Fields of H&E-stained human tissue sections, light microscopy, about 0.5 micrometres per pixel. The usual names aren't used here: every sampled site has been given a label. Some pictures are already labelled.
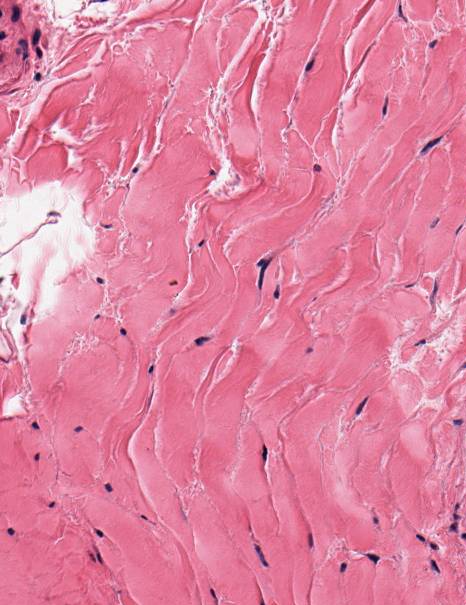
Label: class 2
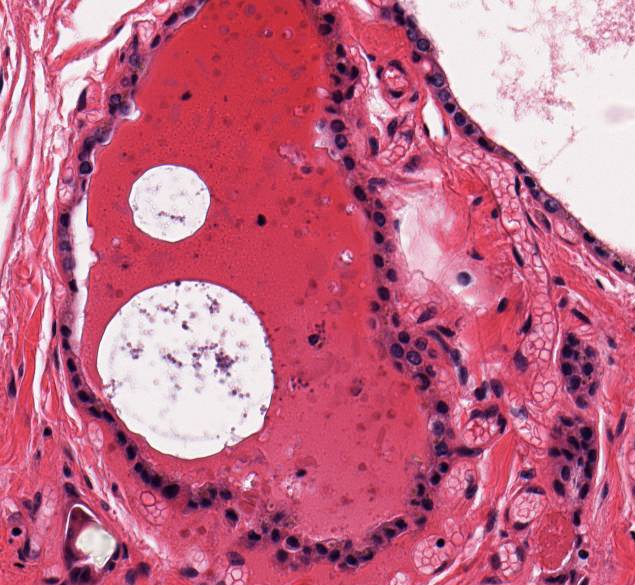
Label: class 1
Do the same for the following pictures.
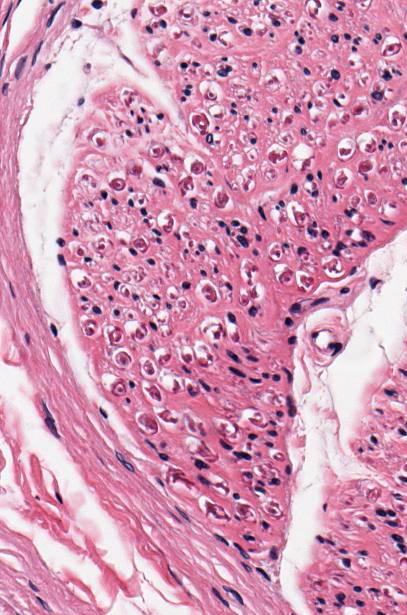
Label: class 2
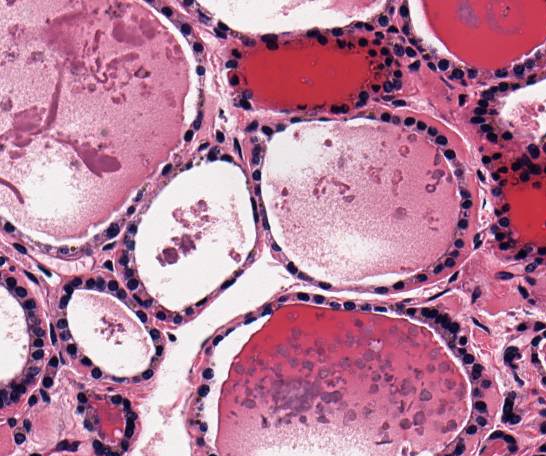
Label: class 1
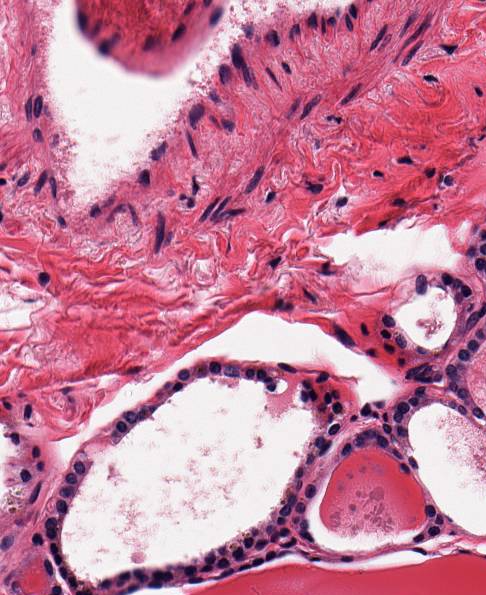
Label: class 1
